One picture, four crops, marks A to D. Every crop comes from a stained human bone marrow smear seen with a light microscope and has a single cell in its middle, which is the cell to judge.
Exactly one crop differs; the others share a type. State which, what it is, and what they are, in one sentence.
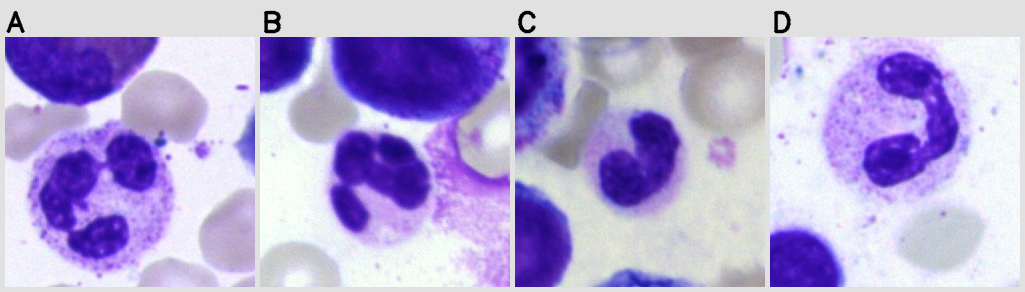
Crop C holds a band neutrophil, unlike the remaining crops, all of which hold segmented neutrophils.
